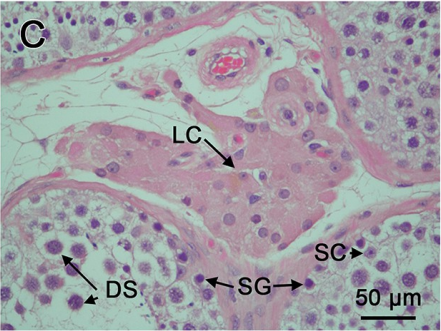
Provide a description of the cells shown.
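A small blood vessel with red cells lies in the interstitium near the top. Thin pink peritubular connective tissue bounds each tubule.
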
